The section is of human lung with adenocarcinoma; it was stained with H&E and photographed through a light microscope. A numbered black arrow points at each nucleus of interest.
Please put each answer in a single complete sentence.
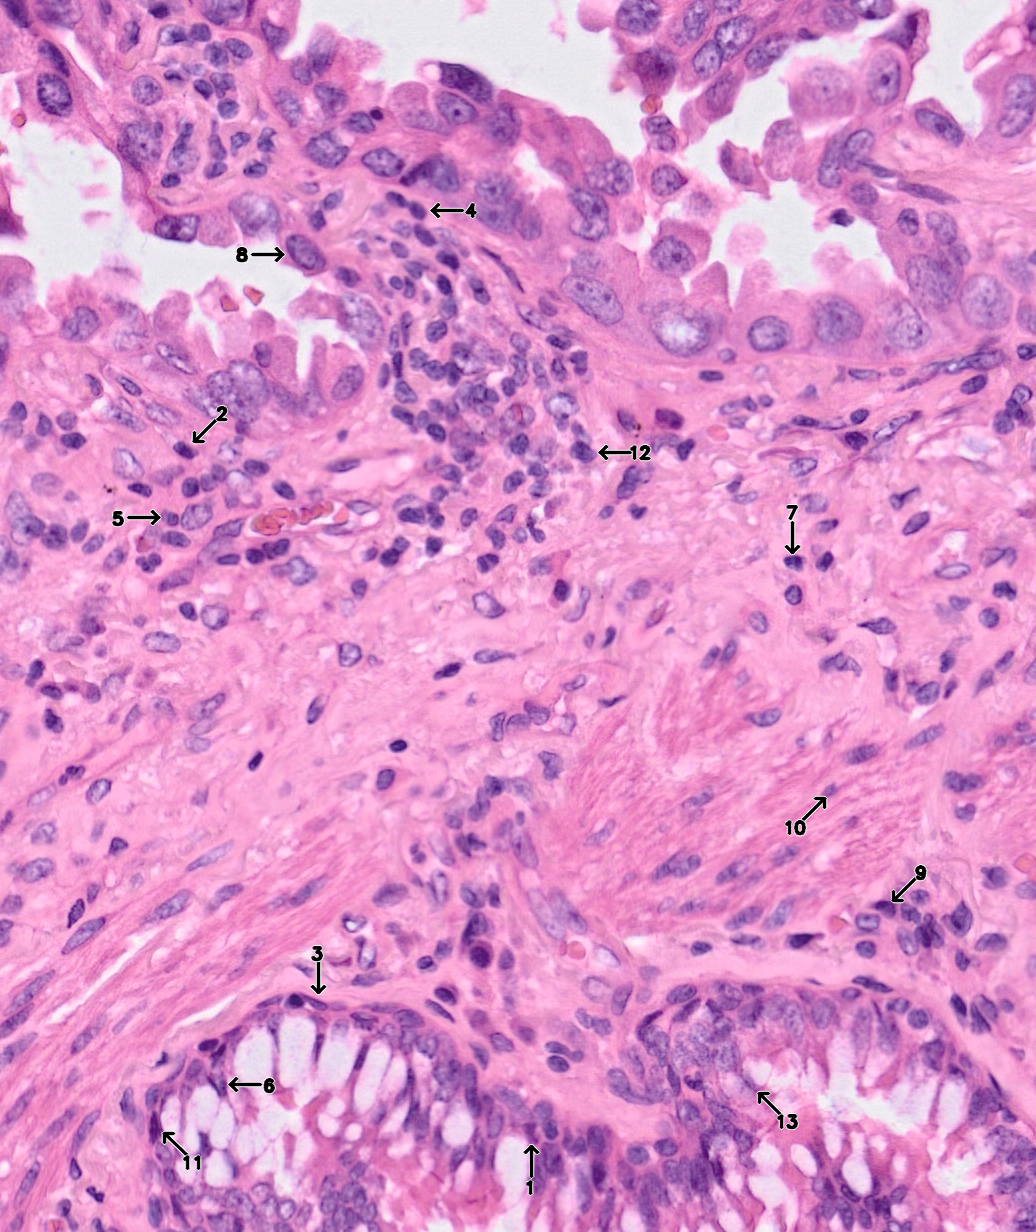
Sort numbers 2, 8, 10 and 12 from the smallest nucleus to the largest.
By area, going up from the smallest, they rank 10, 2, 12, 8.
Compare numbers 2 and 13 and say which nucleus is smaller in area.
Number 2 is smaller, since number 13 takes up about 2 times as much area.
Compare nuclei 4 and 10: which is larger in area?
Of the two, number 4 is bigger and takes up about 1.5 times the area of number 10.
